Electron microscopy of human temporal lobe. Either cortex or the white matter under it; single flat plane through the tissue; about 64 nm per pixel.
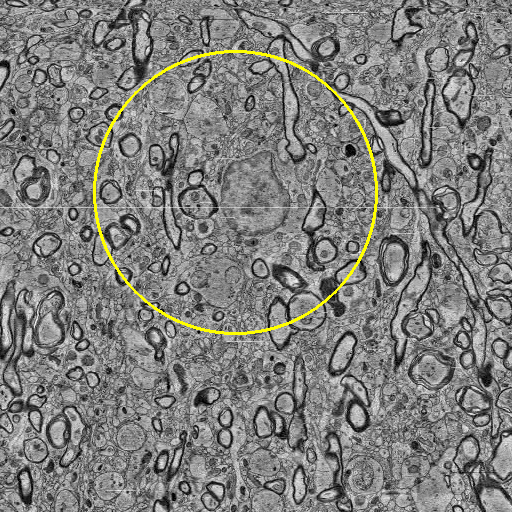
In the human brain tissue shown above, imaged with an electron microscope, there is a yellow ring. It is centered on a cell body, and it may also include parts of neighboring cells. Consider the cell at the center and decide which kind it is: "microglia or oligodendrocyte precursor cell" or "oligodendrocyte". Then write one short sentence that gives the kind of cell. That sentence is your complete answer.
This centered cell body is that of an oligodendrocyte.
